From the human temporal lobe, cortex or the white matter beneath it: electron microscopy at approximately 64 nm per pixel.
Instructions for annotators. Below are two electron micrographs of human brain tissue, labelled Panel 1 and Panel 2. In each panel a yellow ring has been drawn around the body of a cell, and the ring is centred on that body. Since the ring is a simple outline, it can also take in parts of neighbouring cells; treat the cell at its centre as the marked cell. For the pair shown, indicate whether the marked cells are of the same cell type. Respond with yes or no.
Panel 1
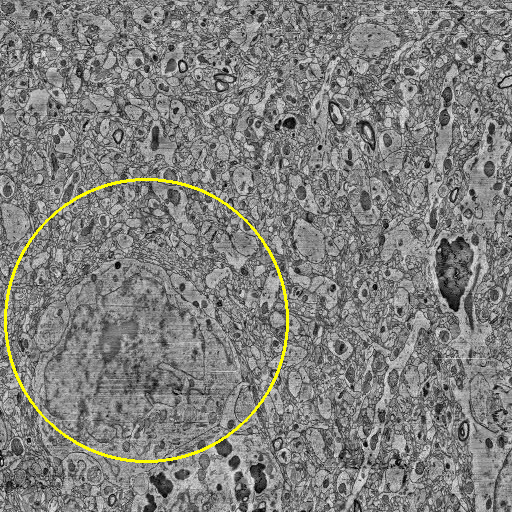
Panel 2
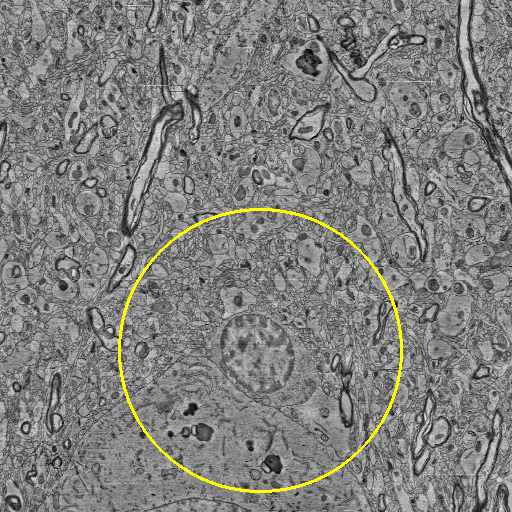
no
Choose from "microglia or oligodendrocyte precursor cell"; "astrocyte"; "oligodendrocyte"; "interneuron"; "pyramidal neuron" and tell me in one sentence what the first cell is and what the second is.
What the first ring is centred on is an interneuron; what the second ring is centred on is an oligodendrocyte.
